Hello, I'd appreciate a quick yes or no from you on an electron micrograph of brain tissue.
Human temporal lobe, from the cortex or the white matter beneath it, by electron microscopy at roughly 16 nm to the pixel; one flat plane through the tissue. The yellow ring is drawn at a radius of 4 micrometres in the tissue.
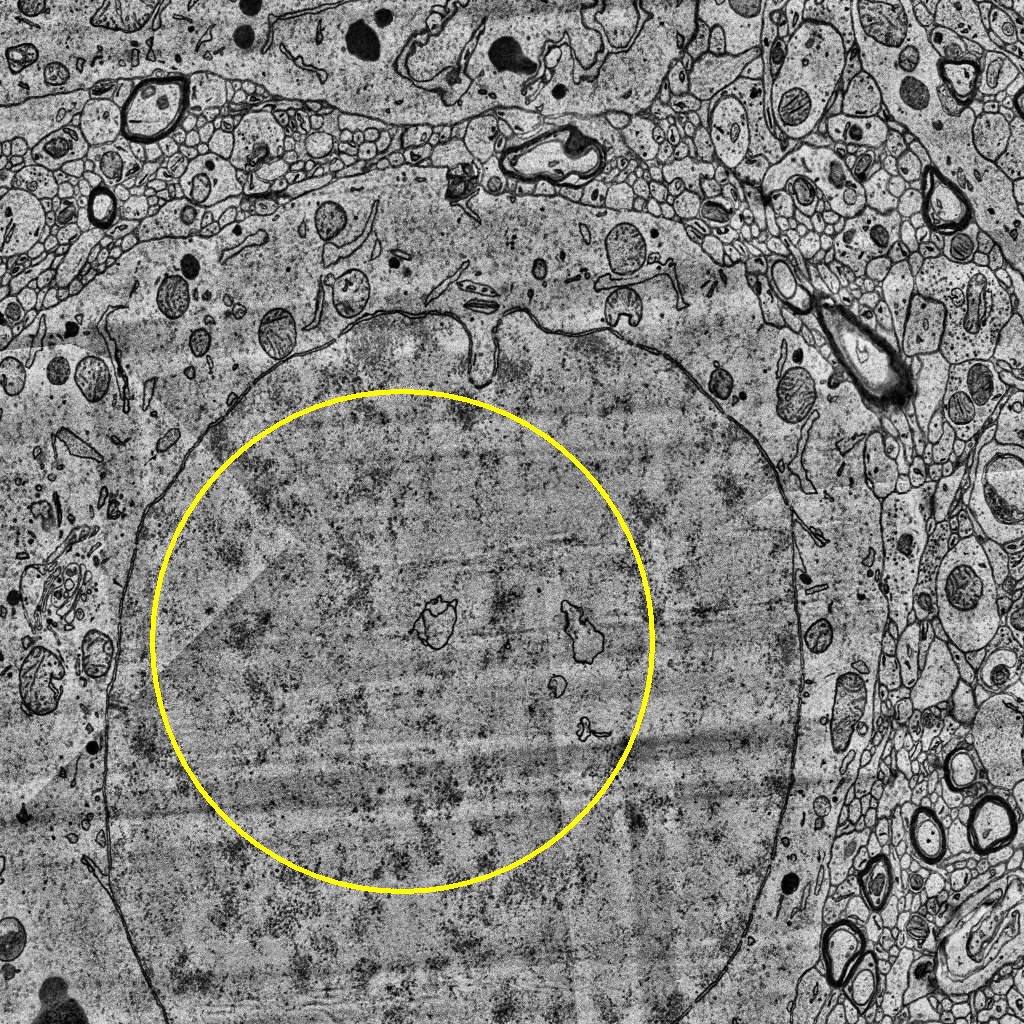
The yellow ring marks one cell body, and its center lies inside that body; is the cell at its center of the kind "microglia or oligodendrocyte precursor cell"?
no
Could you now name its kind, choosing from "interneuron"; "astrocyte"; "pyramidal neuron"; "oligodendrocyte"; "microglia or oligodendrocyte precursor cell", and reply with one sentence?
Instead, the picture shows a pyramidal neuron at the centre of the ring.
